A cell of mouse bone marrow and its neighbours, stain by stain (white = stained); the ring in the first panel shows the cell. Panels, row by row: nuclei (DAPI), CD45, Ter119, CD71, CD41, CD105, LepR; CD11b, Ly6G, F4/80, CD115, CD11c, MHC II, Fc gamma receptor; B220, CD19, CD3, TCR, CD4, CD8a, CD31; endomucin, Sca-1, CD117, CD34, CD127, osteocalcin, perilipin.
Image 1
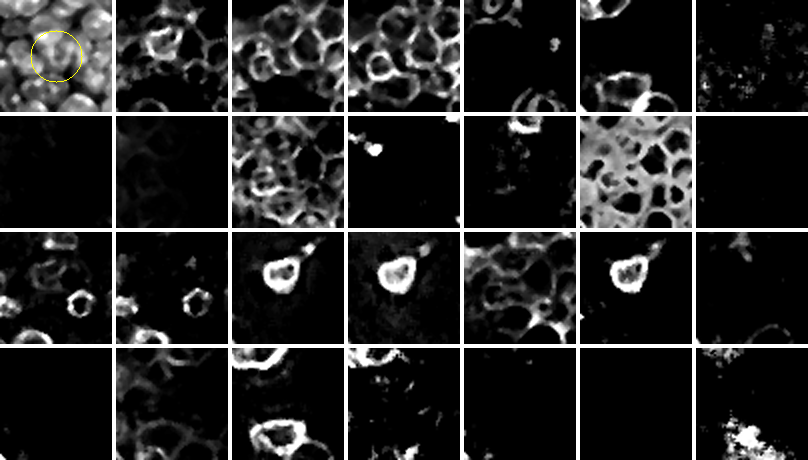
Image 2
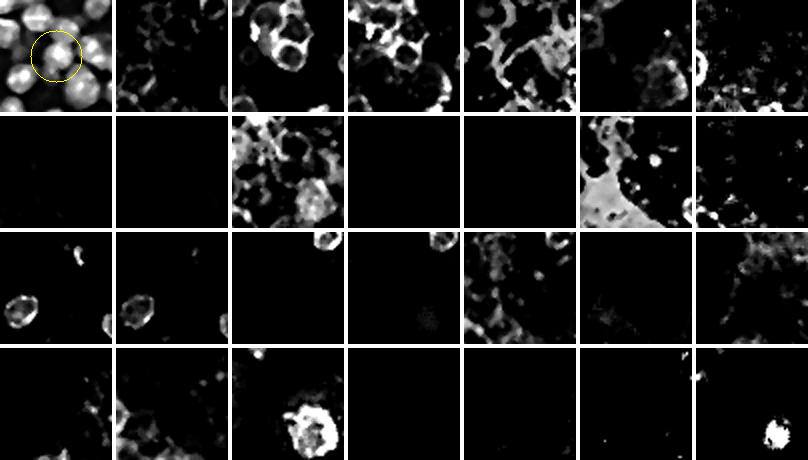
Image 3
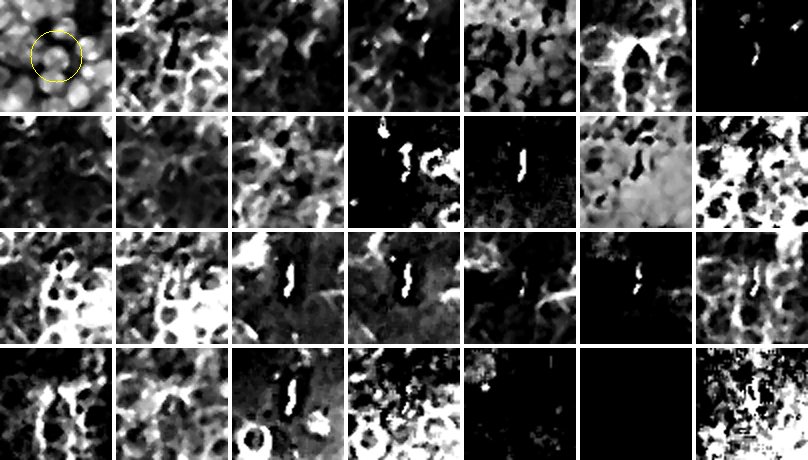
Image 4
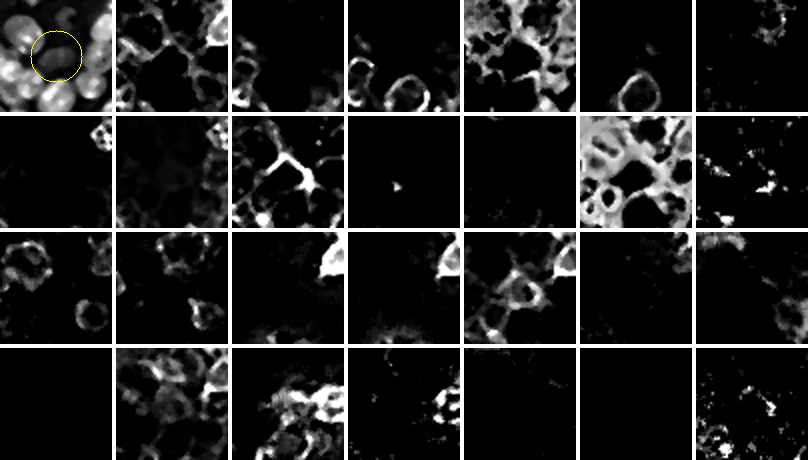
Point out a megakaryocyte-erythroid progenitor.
That is picture 4.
